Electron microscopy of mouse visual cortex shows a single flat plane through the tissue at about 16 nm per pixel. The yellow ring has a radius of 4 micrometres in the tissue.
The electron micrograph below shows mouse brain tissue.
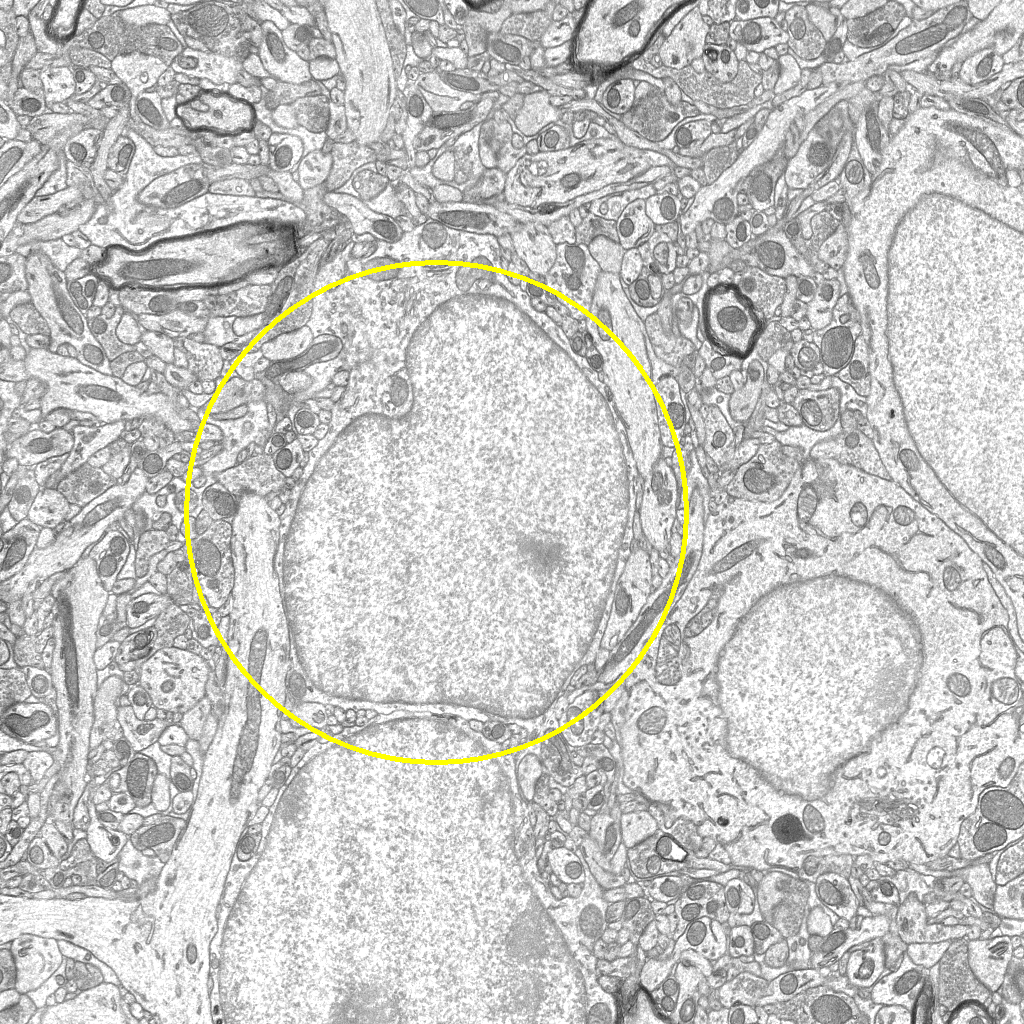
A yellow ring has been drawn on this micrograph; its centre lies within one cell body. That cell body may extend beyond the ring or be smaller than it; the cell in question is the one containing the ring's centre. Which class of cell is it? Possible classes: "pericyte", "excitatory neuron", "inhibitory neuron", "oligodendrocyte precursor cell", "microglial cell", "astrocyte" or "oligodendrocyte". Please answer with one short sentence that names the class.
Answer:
In the centre of the ring sits an astrocyte.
